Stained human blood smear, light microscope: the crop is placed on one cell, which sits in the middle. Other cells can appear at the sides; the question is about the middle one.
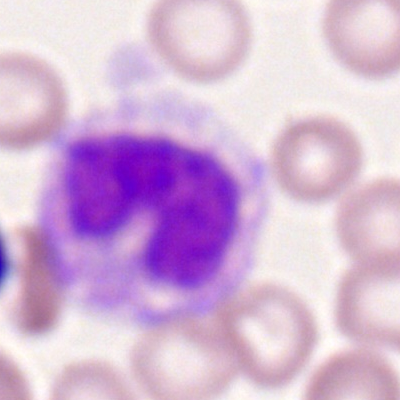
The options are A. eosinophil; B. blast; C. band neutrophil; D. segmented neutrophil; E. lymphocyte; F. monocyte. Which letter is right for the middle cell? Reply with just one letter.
C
